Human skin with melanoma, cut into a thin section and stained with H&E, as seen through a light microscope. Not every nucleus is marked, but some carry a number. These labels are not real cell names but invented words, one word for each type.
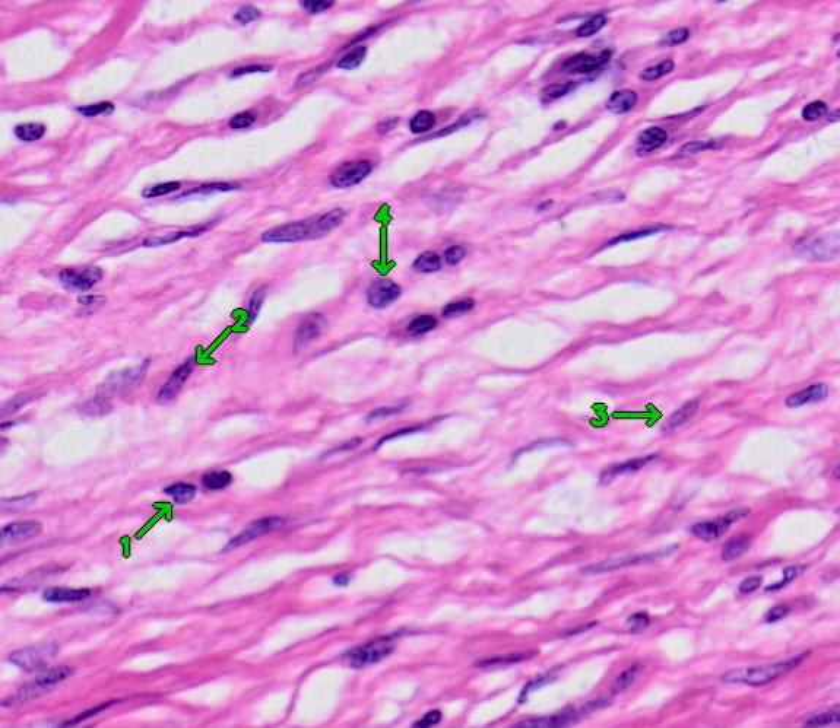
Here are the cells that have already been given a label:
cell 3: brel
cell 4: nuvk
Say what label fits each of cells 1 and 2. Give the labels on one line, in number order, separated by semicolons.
nuvk; brel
